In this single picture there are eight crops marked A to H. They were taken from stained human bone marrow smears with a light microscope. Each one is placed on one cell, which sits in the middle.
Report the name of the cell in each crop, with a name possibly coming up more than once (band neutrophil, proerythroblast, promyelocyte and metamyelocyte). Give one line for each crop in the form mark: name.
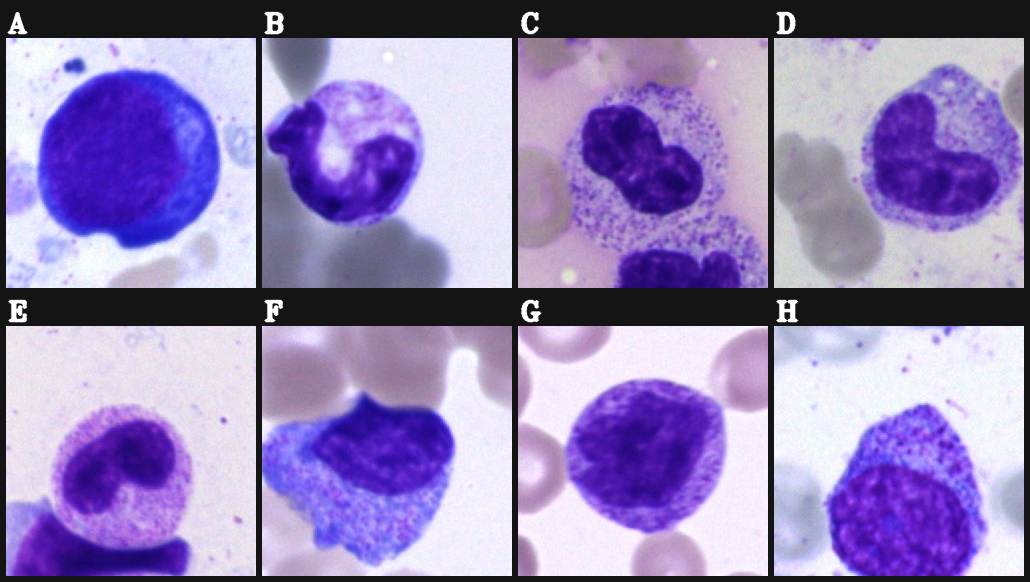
A: proerythroblast
B: band neutrophil
C: metamyelocyte
D: metamyelocyte
E: metamyelocyte
F: promyelocyte
G: promyelocyte
H: promyelocyte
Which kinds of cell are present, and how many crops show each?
metamyelocyte: 3
promyelocyte: 3
proerythroblast: 1
band neutrophil: 1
